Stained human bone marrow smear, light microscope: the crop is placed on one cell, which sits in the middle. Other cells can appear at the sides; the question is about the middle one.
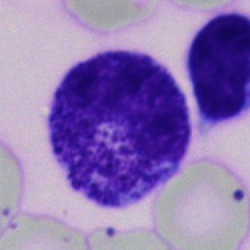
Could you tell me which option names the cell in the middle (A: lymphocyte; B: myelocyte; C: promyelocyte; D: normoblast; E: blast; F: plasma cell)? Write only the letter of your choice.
C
